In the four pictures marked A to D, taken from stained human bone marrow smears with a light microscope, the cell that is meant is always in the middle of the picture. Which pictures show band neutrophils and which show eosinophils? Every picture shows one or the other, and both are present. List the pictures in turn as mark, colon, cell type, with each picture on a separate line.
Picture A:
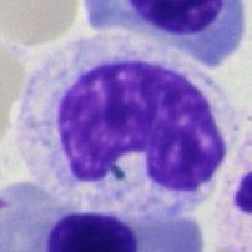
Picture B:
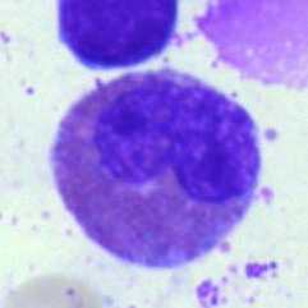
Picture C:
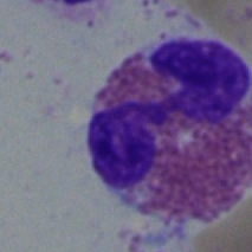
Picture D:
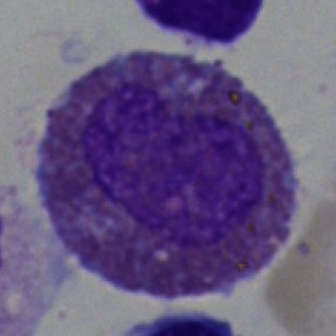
A: band neutrophil
B: eosinophil
C: eosinophil
D: eosinophil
